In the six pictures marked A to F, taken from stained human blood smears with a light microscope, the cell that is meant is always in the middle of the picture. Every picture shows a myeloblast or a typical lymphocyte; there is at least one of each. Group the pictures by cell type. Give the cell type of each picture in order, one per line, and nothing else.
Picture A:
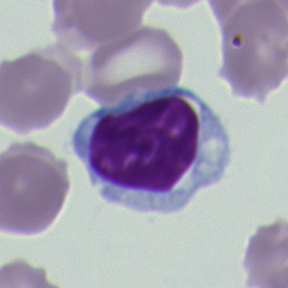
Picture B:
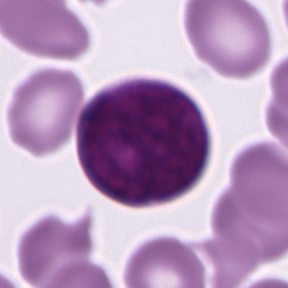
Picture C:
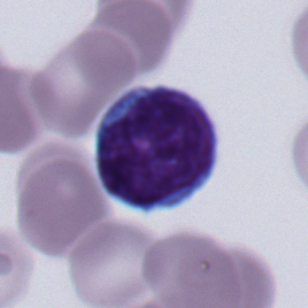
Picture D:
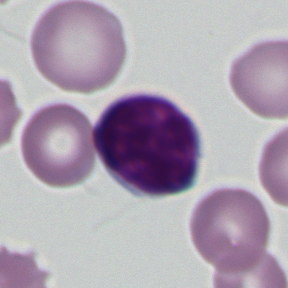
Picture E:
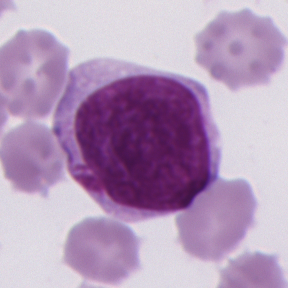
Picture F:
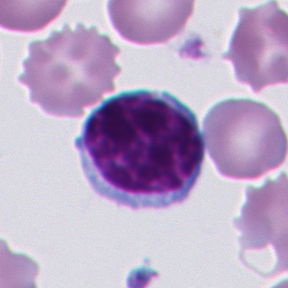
typical lymphocyte
myeloblast
typical lymphocyte
typical lymphocyte
myeloblast
typical lymphocyte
